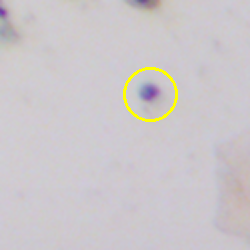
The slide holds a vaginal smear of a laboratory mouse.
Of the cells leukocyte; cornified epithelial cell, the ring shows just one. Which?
The ring shows a leukocyte.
